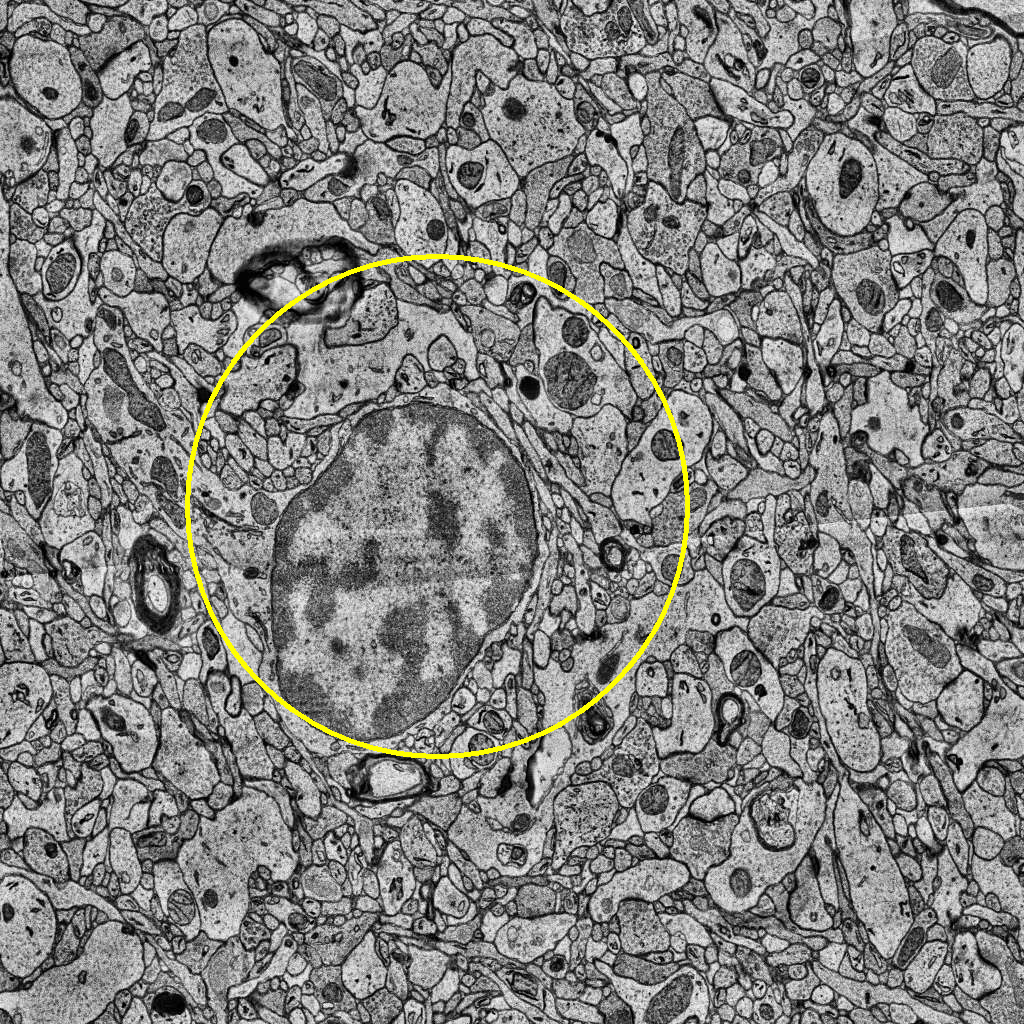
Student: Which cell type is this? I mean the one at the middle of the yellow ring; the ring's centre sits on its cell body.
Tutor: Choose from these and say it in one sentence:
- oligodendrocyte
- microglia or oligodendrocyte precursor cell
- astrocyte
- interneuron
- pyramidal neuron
The cell at the ring's centre is a microglial cell or oligodendrocyte precursor cell.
